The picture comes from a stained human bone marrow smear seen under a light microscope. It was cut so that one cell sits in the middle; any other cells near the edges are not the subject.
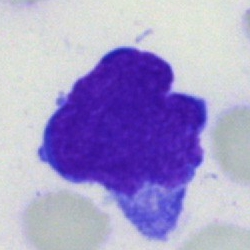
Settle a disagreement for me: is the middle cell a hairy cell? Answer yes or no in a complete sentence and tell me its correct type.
No, the cell found centrally in the crop is a blast, not a hairy cell.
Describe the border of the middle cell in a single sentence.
Along its border, the cell is uneven, whether by ragged stretches or by projections.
